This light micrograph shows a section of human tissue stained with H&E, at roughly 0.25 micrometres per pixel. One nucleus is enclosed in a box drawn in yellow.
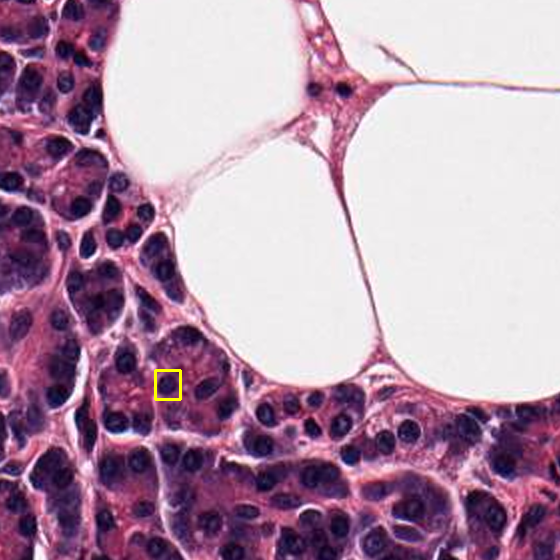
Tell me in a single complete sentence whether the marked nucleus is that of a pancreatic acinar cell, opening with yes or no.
Yes, the marked nucleus is the nucleus belonging to a pancreatic acinar cell.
